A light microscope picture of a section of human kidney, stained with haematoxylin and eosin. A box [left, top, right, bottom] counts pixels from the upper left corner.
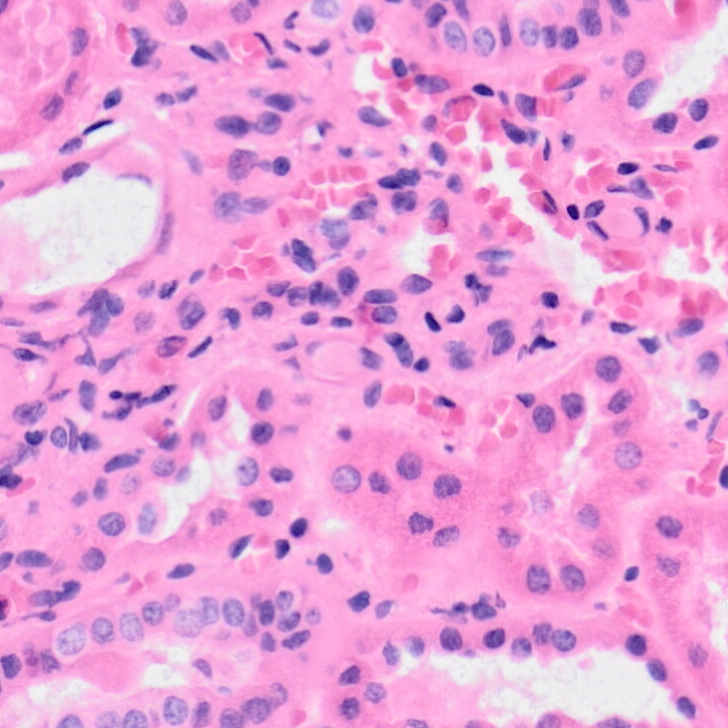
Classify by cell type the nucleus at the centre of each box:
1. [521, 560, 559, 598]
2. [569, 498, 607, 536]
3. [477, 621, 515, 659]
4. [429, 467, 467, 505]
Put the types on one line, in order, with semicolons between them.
proximal tubule cell; proximal tubule cell; loop of Henle or distal tubule cell; proximal tubule cell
